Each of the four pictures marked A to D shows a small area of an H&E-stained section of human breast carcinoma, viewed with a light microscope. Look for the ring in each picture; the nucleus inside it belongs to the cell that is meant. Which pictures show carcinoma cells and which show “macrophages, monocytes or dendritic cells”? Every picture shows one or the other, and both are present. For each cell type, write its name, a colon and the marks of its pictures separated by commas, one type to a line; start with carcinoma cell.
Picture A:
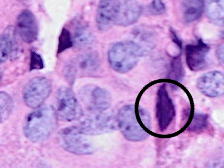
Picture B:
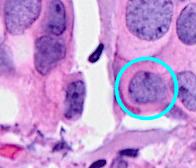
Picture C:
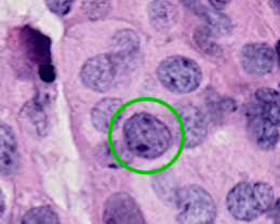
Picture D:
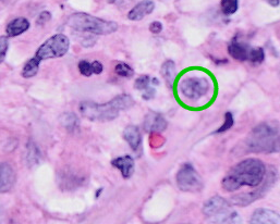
carcinoma cell: A, B, C
macrophage, monocyte or dendritic cell: D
